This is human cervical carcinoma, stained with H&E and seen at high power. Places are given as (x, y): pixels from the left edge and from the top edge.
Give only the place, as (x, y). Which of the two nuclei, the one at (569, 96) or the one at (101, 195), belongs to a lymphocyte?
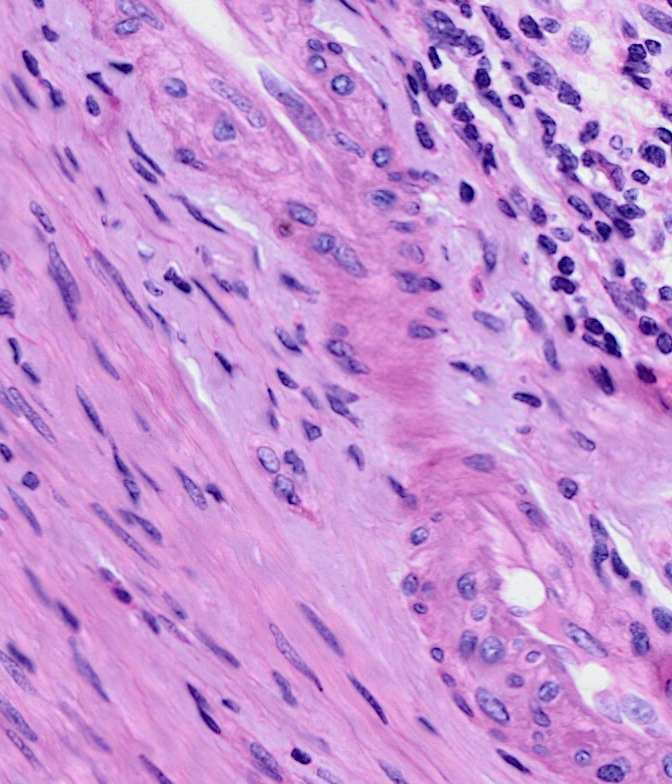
(569, 96)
